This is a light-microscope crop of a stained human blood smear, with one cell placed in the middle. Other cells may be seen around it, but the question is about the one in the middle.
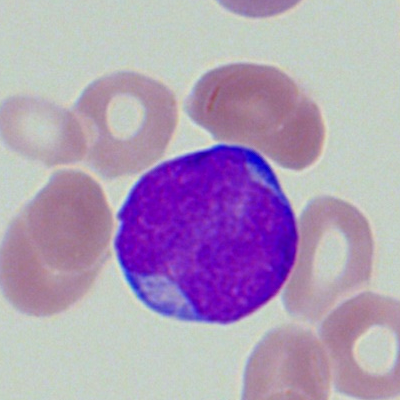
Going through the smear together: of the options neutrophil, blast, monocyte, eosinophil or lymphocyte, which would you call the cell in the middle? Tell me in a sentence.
By classification, the middle cell of this crop is a blast.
